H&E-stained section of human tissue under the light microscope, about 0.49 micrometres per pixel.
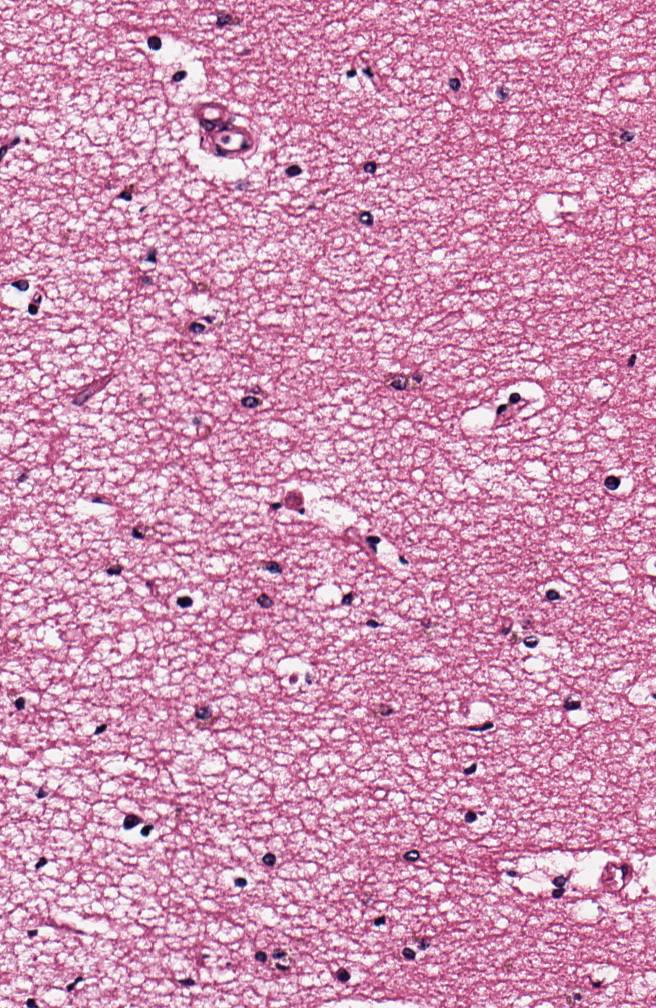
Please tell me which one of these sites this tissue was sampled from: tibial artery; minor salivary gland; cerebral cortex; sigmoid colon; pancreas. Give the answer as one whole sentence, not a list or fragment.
The human tissue in this section was sampled from the cerebral cortex.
